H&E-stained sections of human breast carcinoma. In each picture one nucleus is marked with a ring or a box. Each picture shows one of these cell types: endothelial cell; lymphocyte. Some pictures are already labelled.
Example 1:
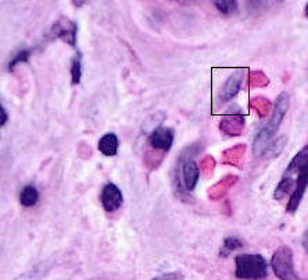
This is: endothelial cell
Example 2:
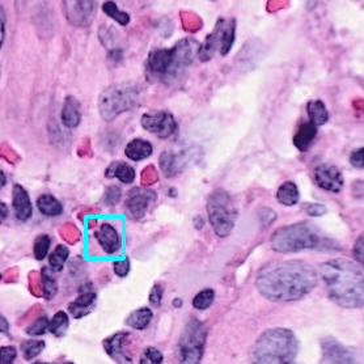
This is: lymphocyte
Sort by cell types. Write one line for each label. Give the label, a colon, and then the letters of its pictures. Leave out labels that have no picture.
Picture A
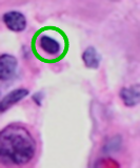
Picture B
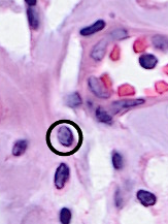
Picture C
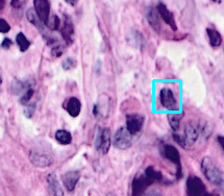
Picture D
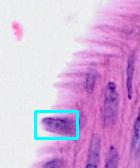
endothelial cell: D
lymphocyte: A, B, C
